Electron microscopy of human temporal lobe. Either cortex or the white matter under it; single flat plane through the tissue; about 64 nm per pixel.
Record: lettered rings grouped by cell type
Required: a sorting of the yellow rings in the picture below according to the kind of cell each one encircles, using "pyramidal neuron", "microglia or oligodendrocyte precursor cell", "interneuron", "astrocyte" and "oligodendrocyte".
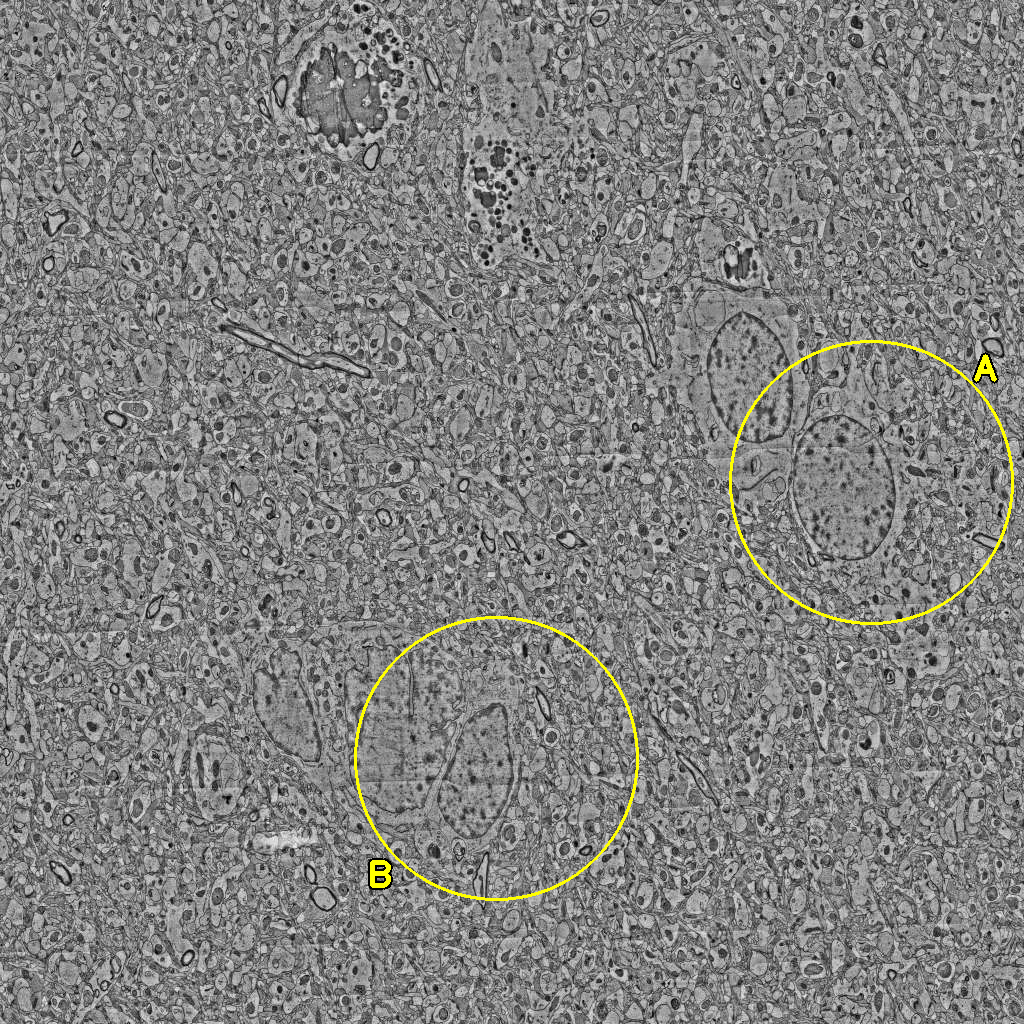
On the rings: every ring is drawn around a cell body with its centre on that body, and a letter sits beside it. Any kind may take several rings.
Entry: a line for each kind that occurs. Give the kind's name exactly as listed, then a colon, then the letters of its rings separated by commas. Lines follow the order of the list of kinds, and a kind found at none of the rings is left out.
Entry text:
microglia or oligodendrocyte precursor cell: B
astrocyte: A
